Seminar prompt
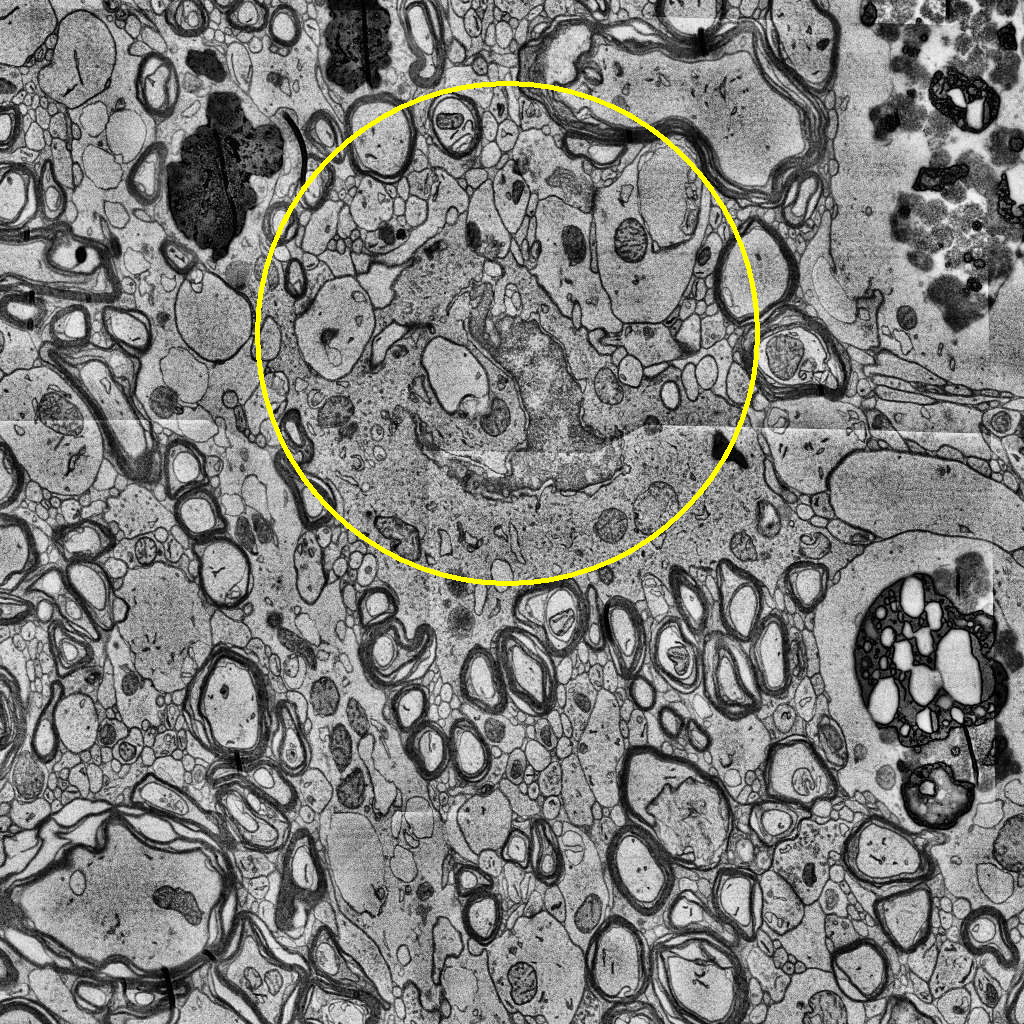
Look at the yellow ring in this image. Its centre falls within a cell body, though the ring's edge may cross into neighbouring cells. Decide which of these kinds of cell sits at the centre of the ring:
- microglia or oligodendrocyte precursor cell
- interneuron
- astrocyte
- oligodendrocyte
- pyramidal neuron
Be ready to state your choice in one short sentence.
The kind of cell at the ring's centre is an oligodendrocyte.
